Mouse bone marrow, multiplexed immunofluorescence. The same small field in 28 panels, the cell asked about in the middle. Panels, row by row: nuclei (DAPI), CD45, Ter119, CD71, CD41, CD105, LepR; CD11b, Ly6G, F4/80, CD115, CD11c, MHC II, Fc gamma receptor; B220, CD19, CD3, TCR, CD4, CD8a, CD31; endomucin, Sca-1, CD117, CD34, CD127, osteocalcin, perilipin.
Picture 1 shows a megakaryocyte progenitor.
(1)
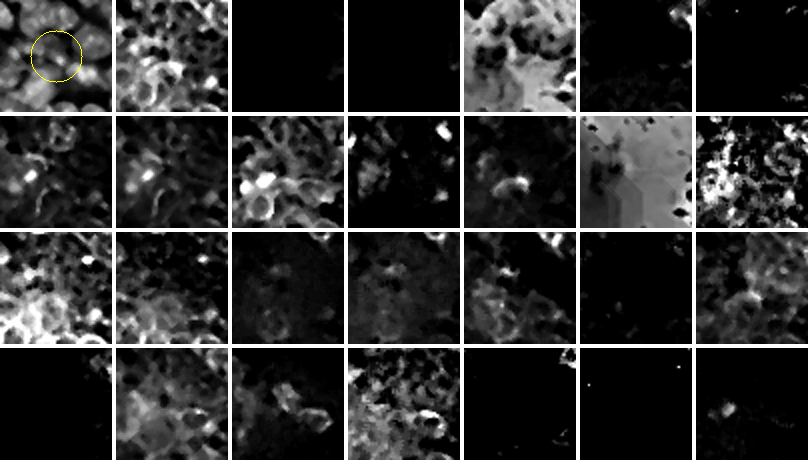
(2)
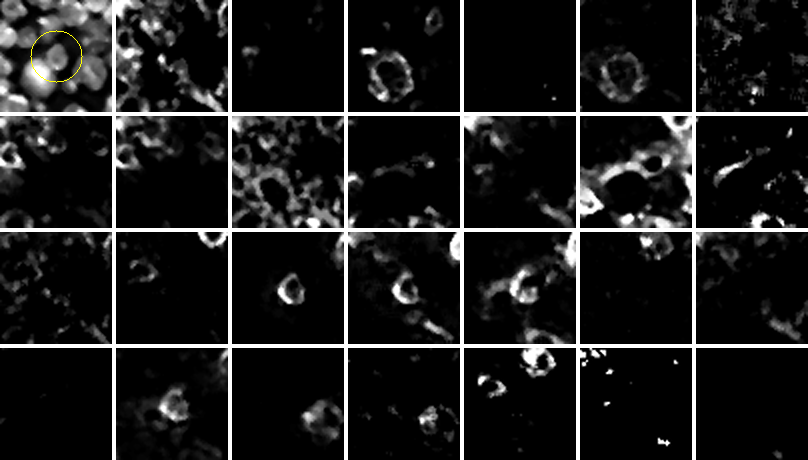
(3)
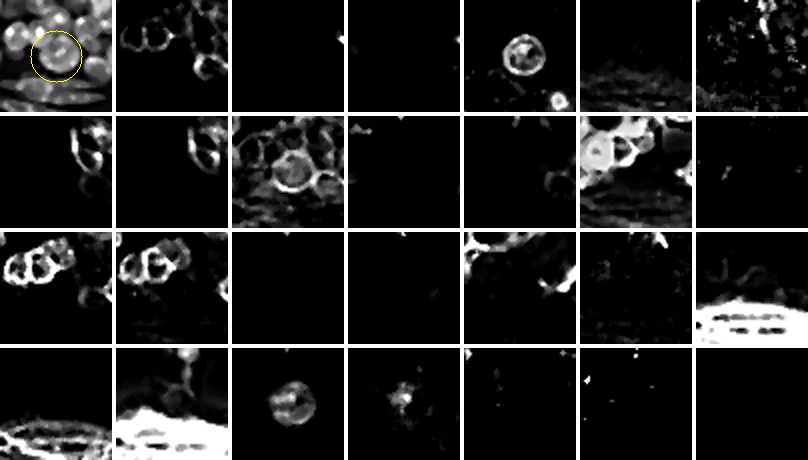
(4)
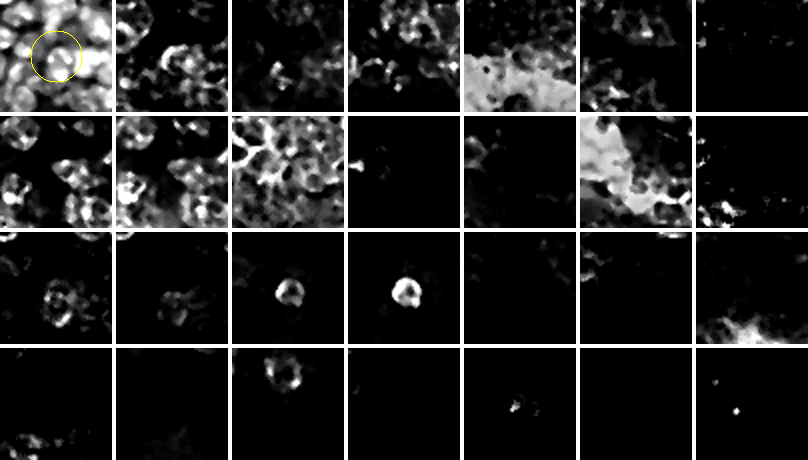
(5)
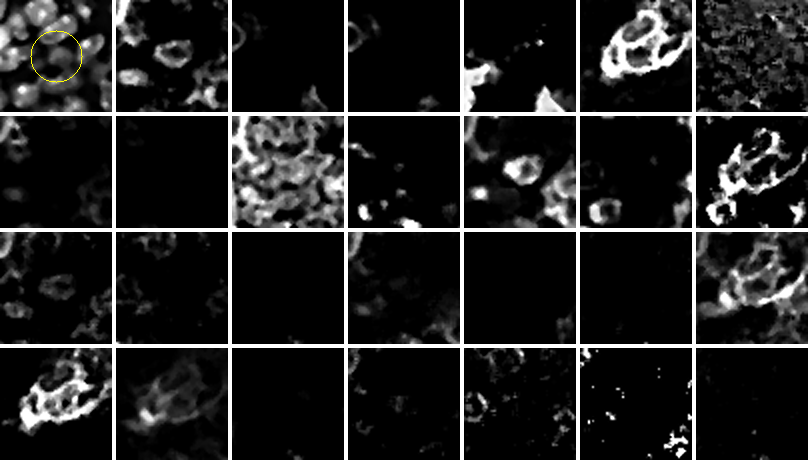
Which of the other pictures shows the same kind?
Picture 3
